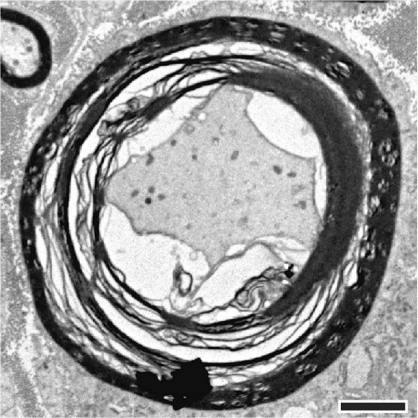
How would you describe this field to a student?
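Single myelinated nerve fiber in cross-section with decompaction of the myelin sheath. The outer myelin forms a dark, fairly compact band, while the inner lamellae are split apart by pale gaps into many loose concentric layers. A clear space separates the pale axoplasm from the inner layers, with some wispy membranous material at its lower margin. The axoplasm contains scattered small dark dots.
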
